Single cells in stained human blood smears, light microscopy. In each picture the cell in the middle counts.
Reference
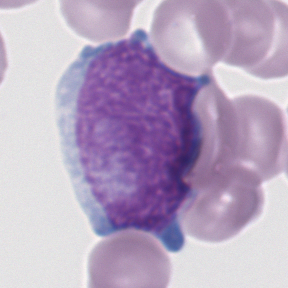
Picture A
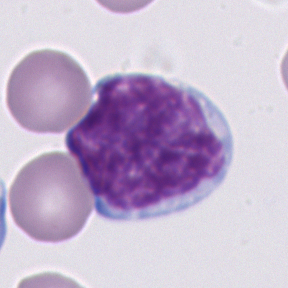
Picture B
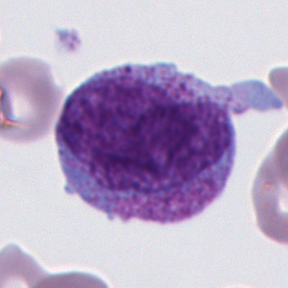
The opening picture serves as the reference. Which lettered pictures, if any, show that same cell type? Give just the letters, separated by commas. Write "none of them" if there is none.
A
